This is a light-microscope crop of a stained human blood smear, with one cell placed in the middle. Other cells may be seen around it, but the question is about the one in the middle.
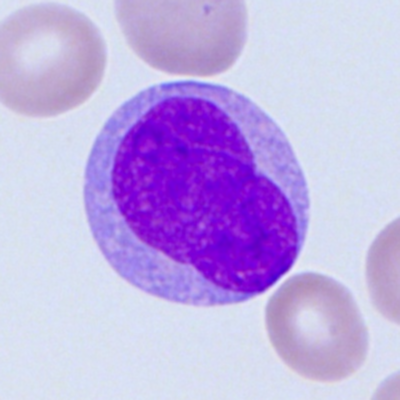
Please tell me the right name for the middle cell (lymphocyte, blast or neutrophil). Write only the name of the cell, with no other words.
blast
